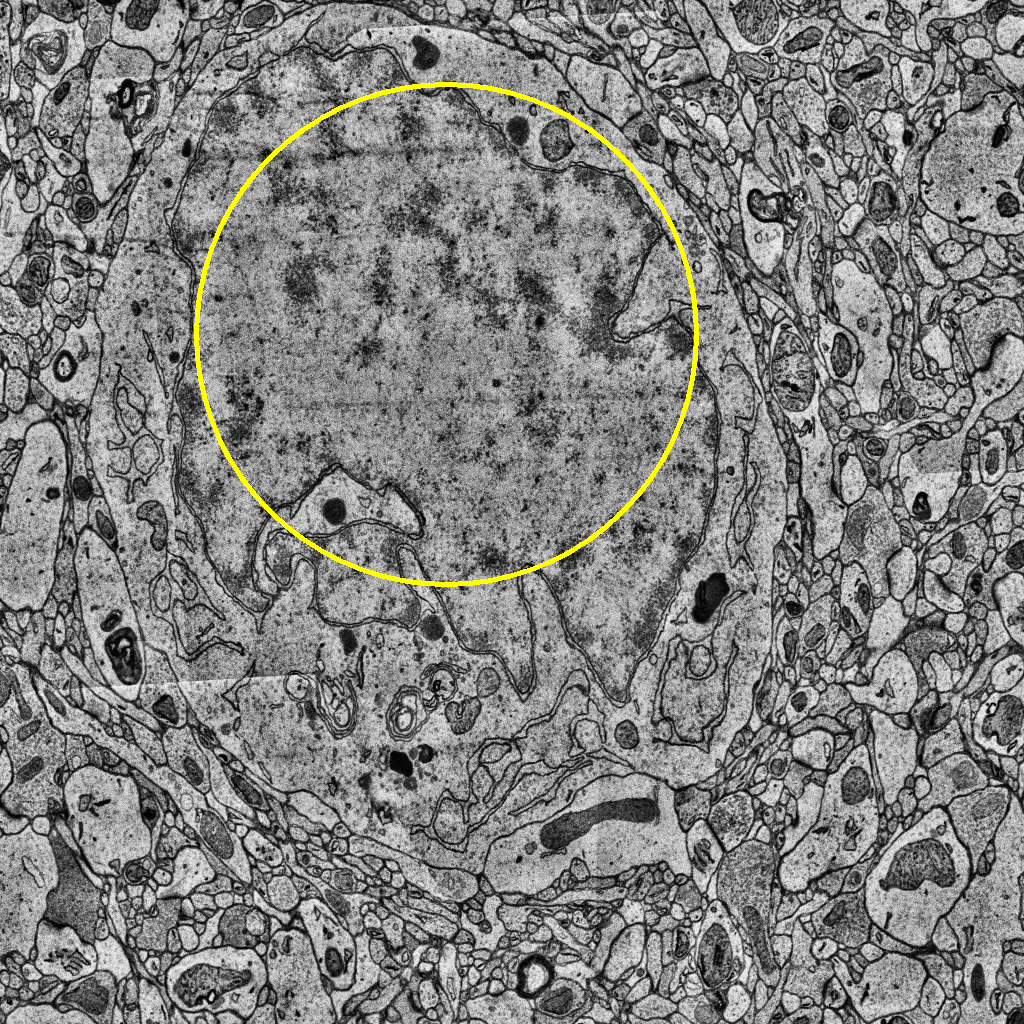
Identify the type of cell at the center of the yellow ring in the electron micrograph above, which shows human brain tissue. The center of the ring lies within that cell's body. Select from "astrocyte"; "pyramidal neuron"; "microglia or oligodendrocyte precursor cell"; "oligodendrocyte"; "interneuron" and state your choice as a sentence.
The center of the yellow ring lies in the body of an interneuron.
